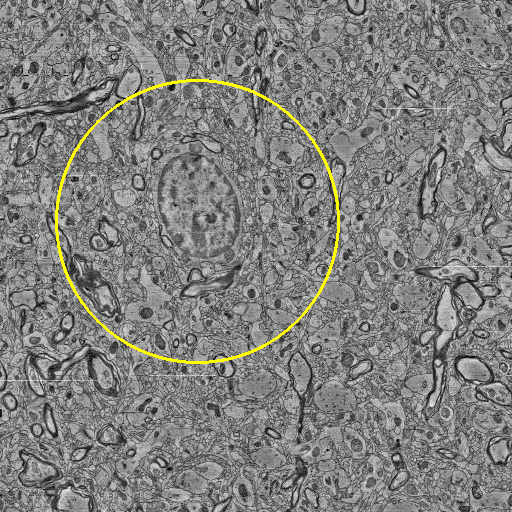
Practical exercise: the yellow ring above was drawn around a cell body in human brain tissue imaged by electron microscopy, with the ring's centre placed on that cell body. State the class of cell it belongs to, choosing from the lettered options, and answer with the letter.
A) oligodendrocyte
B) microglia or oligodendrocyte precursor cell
A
